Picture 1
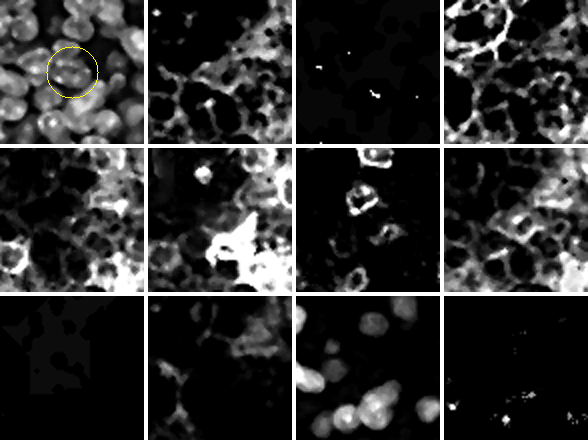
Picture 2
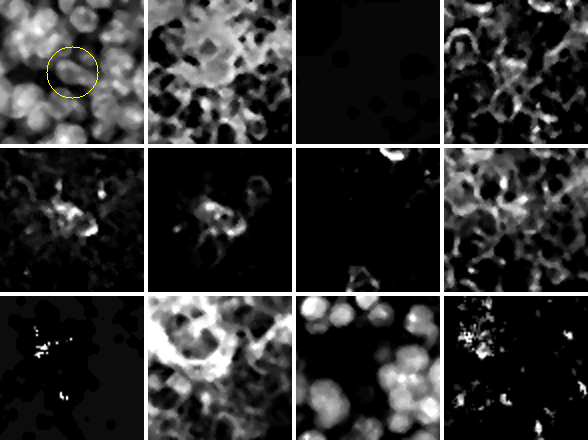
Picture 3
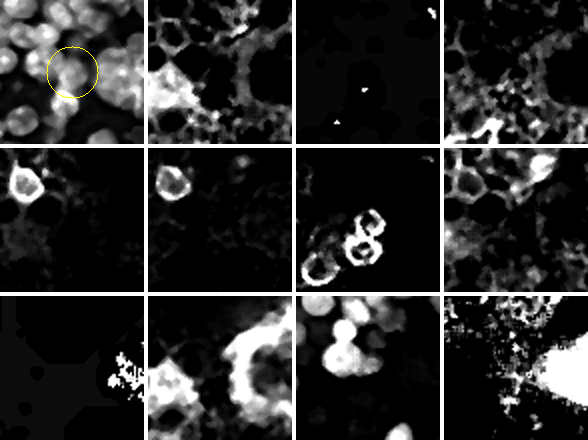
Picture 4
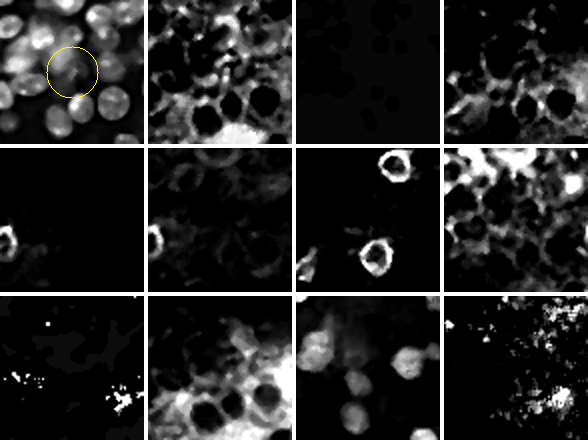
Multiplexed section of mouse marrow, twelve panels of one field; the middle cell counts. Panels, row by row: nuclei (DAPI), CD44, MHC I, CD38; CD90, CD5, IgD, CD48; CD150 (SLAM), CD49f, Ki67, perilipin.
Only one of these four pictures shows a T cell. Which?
Picture 2.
